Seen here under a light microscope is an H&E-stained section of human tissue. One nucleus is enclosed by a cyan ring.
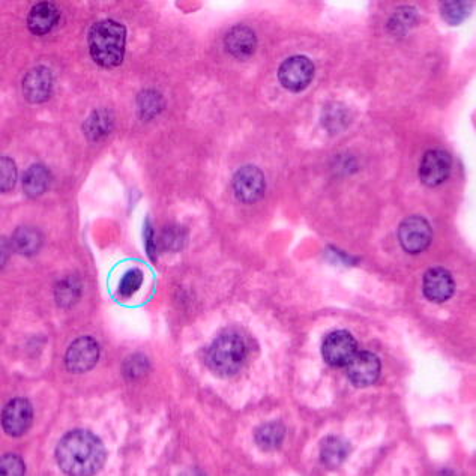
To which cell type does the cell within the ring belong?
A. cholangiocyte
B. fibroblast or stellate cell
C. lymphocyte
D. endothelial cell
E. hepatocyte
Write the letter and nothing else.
C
